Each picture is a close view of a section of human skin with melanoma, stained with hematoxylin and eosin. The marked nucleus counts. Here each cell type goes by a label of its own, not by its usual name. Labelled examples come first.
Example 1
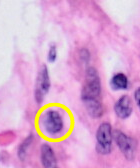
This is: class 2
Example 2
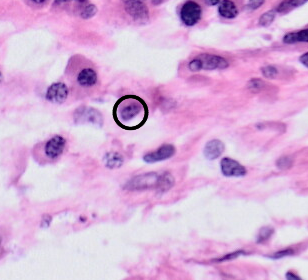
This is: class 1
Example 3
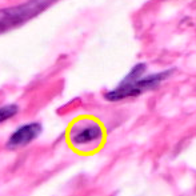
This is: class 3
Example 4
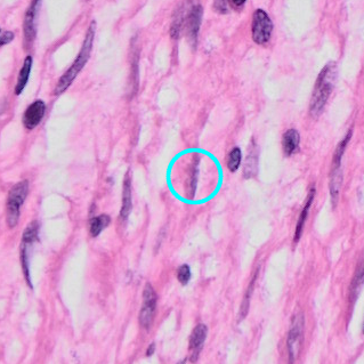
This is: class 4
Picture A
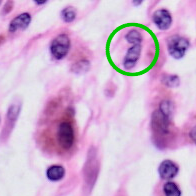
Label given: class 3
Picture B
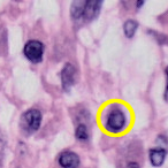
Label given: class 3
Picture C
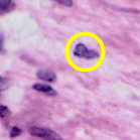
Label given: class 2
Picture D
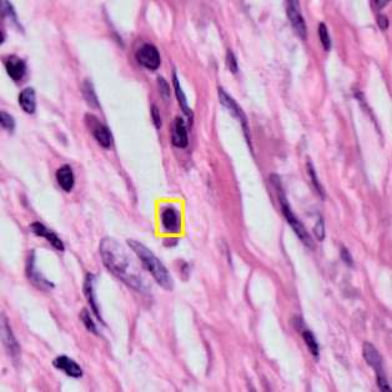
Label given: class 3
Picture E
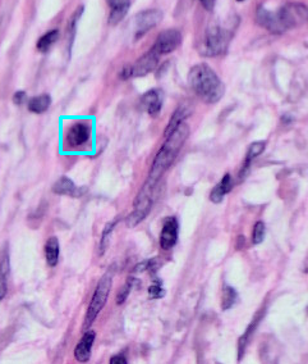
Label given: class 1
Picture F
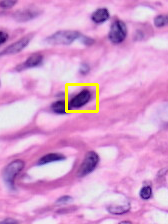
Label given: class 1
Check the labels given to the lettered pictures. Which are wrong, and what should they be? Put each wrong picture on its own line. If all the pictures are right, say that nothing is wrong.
D should be class 1, not class 3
